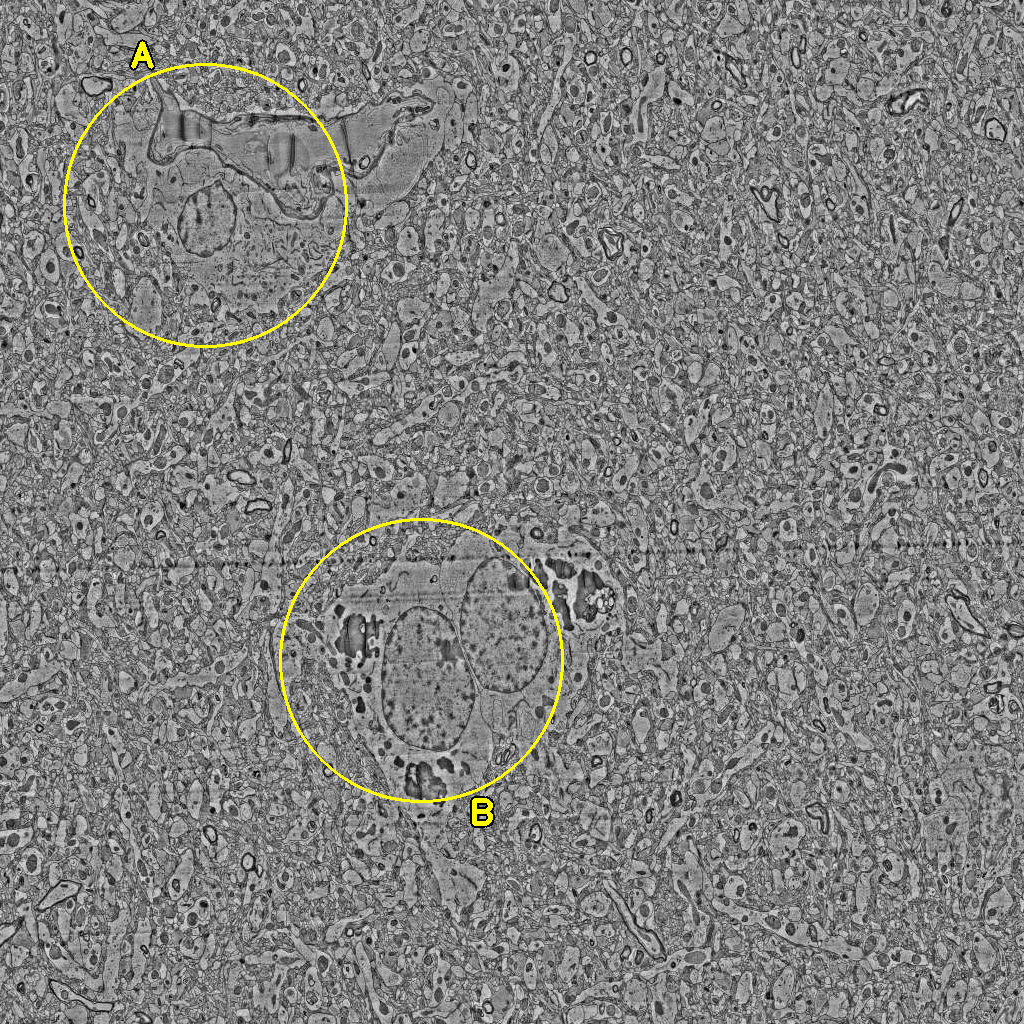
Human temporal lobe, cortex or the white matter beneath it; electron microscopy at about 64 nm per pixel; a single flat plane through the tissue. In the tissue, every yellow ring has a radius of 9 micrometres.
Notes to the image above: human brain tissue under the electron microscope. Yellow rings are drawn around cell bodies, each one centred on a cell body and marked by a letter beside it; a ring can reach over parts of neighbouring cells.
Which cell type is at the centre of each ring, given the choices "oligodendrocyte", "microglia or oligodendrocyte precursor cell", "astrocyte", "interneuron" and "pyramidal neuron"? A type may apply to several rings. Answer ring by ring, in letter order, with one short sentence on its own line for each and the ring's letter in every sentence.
Inside ring A, at its centre, is a microglial cell or oligodendrocyte precursor cell.
Inside ring B, at its centre, is an astrocyte.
